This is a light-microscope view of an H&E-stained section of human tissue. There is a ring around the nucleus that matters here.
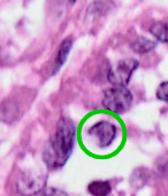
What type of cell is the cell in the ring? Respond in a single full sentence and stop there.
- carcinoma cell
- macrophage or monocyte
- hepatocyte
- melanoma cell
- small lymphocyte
Speaking plainly, the cell in the ring is nothing other than a melanoma cell.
